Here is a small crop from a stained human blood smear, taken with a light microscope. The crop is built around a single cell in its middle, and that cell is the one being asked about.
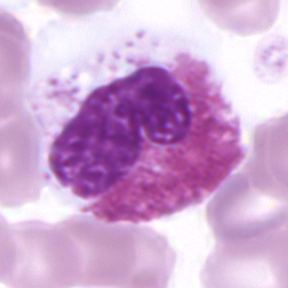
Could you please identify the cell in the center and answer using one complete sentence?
The cell at the middle of the frame should be recorded as an eosinophil.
